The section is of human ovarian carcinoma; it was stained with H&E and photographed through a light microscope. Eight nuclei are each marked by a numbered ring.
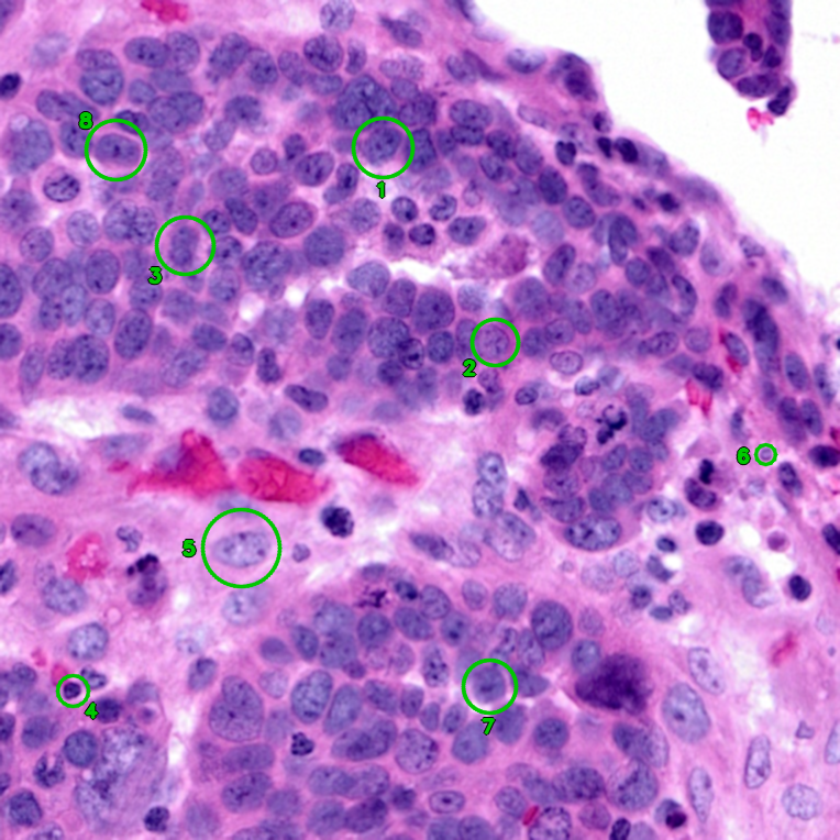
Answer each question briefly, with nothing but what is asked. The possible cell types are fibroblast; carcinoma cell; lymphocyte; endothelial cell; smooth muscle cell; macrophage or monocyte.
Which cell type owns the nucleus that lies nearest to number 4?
macrophage or monocyte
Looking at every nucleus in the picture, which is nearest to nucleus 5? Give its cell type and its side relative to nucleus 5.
an endothelial cell; above nucleus 5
